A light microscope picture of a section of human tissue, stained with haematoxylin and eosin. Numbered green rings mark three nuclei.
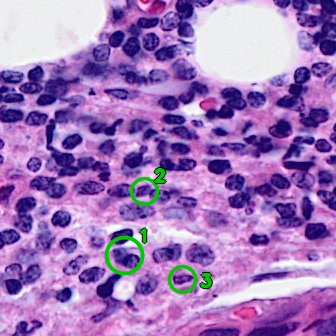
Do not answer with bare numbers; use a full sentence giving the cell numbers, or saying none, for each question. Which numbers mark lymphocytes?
In short, the numbered cells 1 and 2 are lymphocytes.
